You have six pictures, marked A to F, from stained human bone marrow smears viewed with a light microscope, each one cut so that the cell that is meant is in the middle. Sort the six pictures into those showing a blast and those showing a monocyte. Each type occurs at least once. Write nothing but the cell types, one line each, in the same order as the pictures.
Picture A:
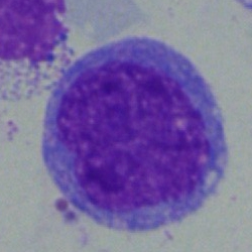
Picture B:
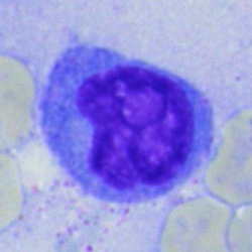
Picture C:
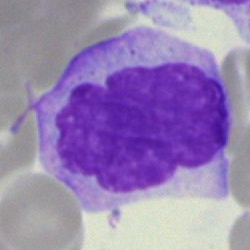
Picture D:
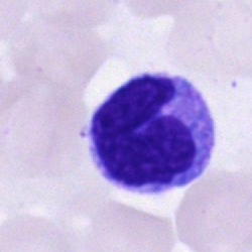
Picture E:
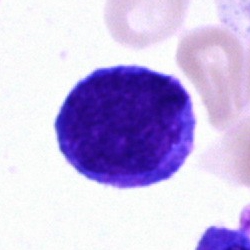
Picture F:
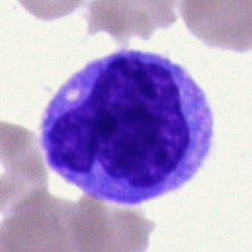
blast
monocyte
monocyte
monocyte
blast
monocyte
